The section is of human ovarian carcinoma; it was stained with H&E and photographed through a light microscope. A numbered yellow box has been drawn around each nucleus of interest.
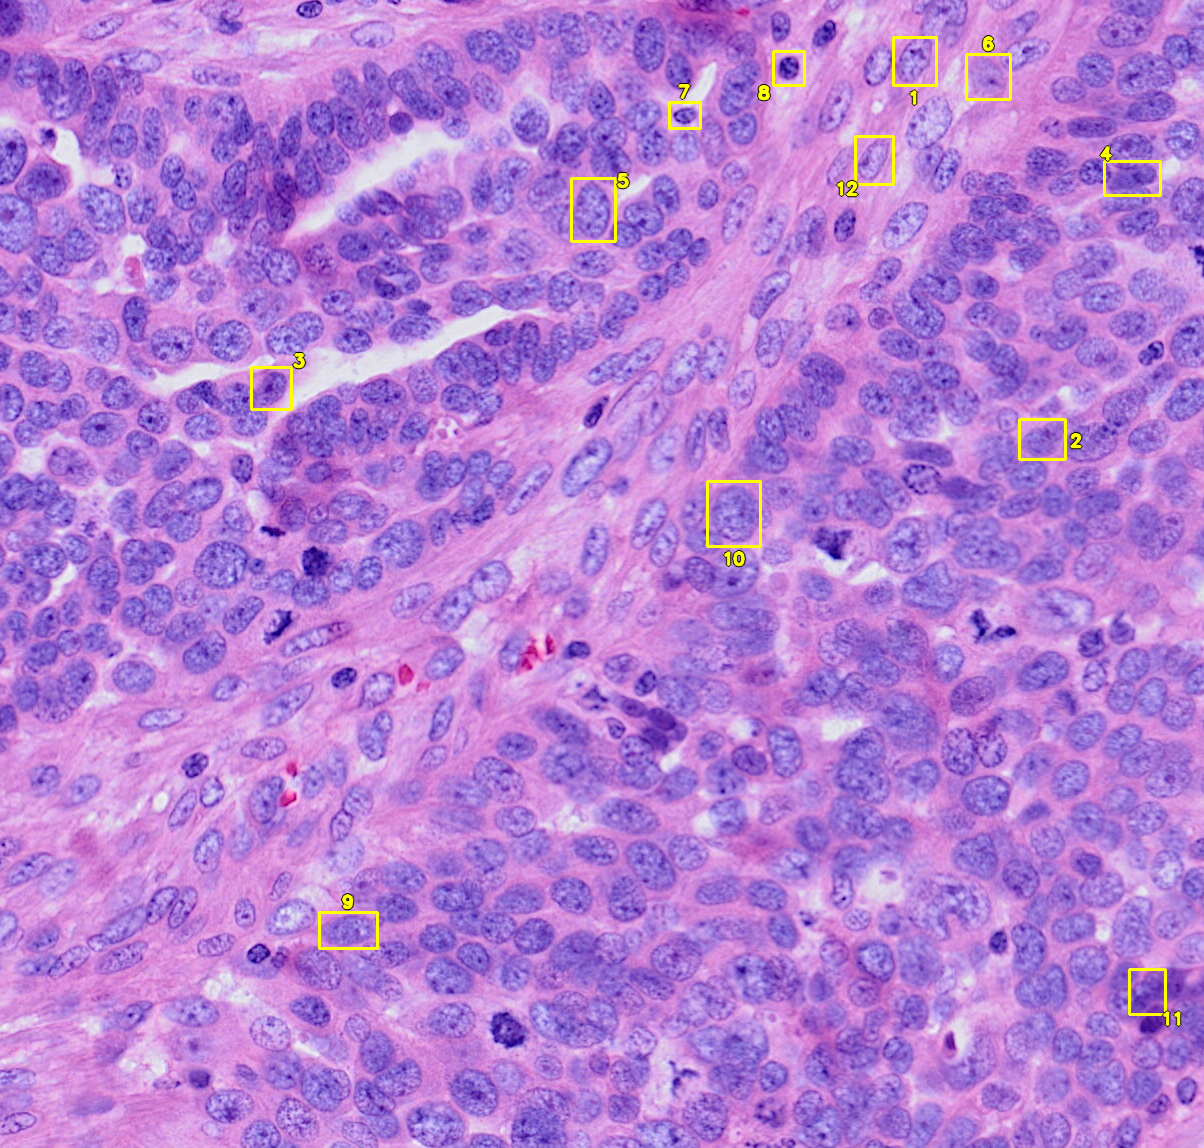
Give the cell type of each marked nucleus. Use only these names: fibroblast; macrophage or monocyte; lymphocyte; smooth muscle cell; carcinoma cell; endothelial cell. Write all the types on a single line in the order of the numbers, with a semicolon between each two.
fibroblast; carcinoma cell; carcinoma cell; carcinoma cell; carcinoma cell; fibroblast; lymphocyte; lymphocyte; carcinoma cell; carcinoma cell; carcinoma cell; fibroblast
